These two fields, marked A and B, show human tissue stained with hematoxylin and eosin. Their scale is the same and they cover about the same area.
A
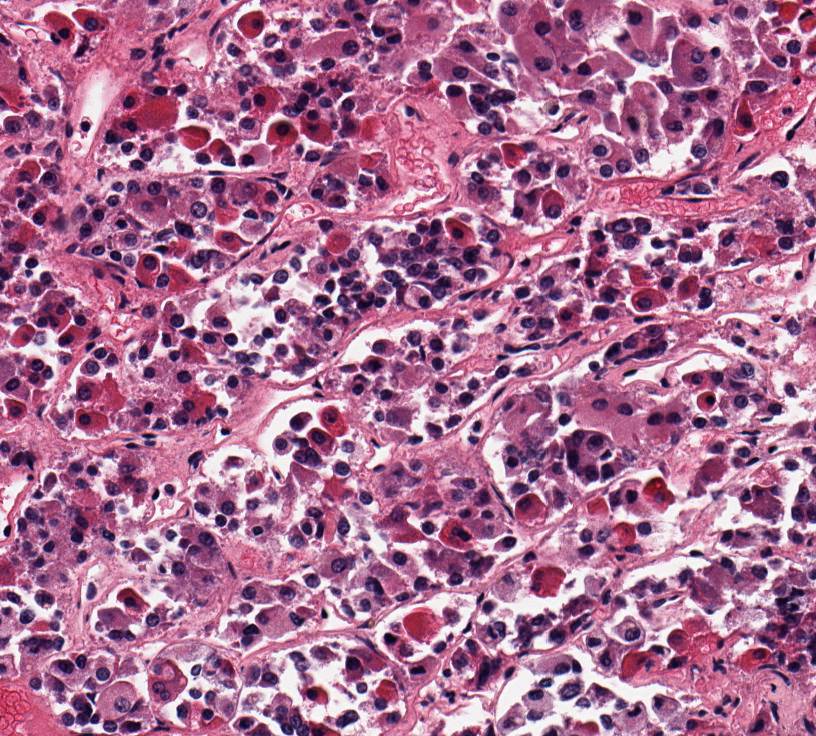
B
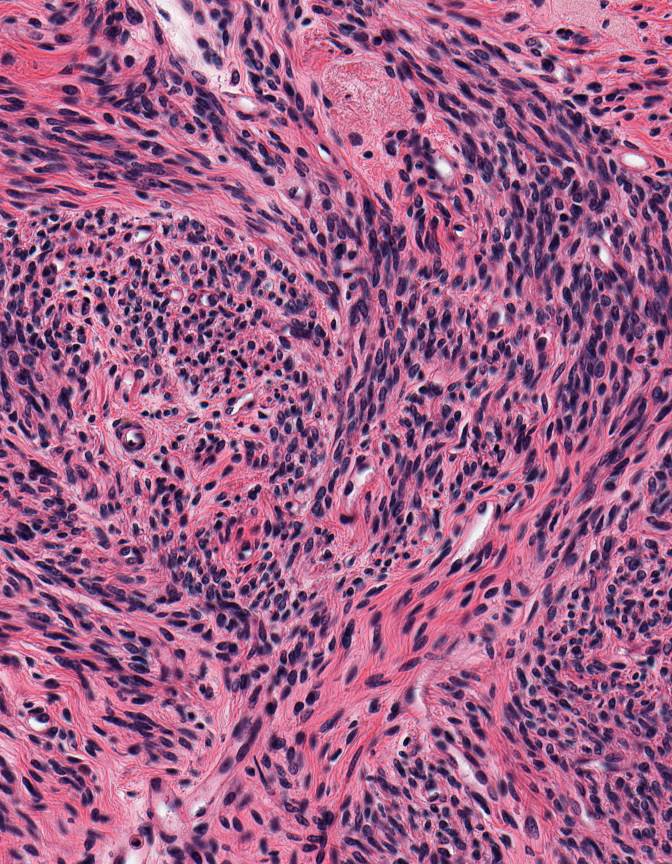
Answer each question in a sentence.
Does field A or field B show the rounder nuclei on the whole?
On the whole the nuclei of field A are rounder than those of field B.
